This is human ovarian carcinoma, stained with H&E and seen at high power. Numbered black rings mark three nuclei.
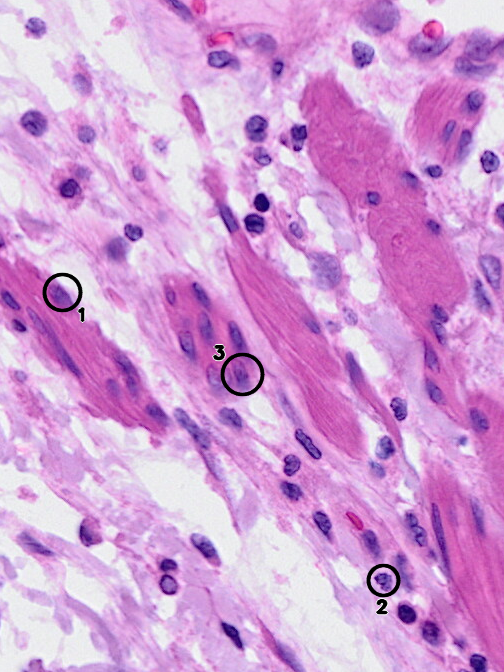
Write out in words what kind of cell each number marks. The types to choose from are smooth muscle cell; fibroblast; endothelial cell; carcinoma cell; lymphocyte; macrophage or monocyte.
Cells 1 and 3 are smooth muscle cells. Cell 2 is a lymphocyte.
